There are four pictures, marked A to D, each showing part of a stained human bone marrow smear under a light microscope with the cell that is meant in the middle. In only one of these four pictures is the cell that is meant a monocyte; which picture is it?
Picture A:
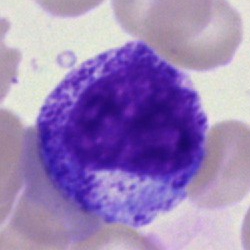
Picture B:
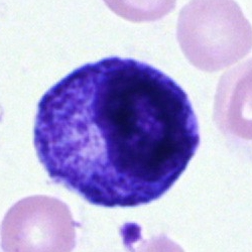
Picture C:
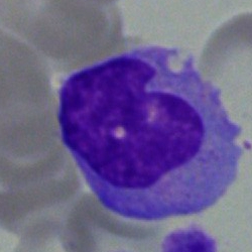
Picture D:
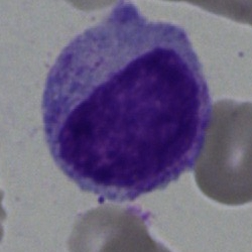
C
